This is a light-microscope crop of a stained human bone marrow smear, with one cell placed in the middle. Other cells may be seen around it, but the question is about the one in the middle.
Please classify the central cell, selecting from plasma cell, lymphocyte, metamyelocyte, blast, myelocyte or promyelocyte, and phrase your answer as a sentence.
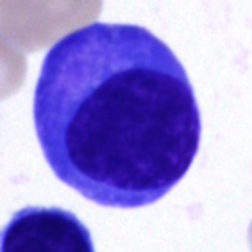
The central element of this crop is a cell, namely a plasma cell.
